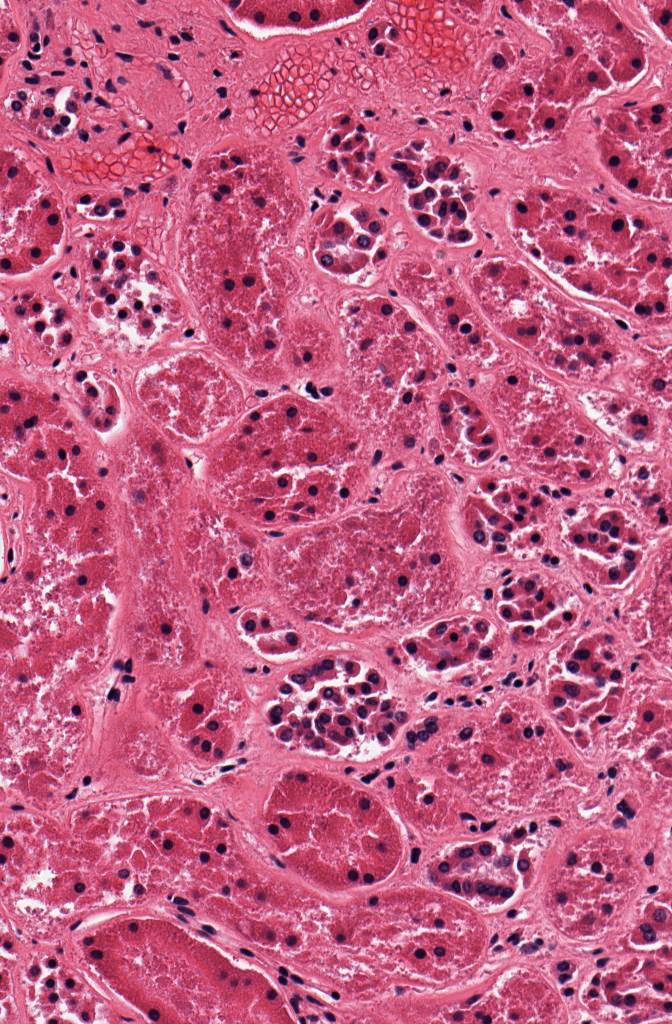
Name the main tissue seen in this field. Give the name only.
cortical labyrinth of the kidney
